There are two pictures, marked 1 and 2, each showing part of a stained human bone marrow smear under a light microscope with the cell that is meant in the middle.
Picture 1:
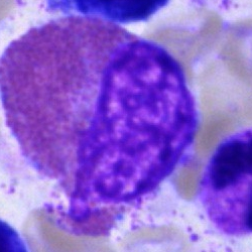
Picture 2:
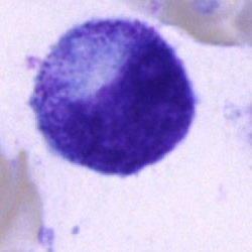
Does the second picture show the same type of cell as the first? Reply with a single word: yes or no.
no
